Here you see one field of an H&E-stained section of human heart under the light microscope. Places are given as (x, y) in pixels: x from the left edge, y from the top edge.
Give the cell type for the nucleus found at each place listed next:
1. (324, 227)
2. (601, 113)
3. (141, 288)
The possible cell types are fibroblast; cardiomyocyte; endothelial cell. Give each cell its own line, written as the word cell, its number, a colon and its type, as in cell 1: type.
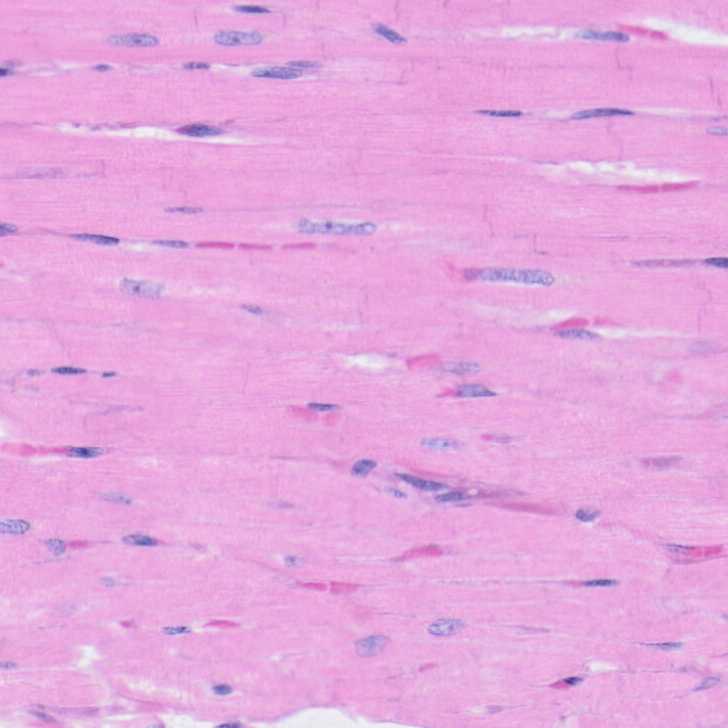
cell 1: cardiomyocyte
cell 2: endothelial cell
cell 3: cardiomyocyte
